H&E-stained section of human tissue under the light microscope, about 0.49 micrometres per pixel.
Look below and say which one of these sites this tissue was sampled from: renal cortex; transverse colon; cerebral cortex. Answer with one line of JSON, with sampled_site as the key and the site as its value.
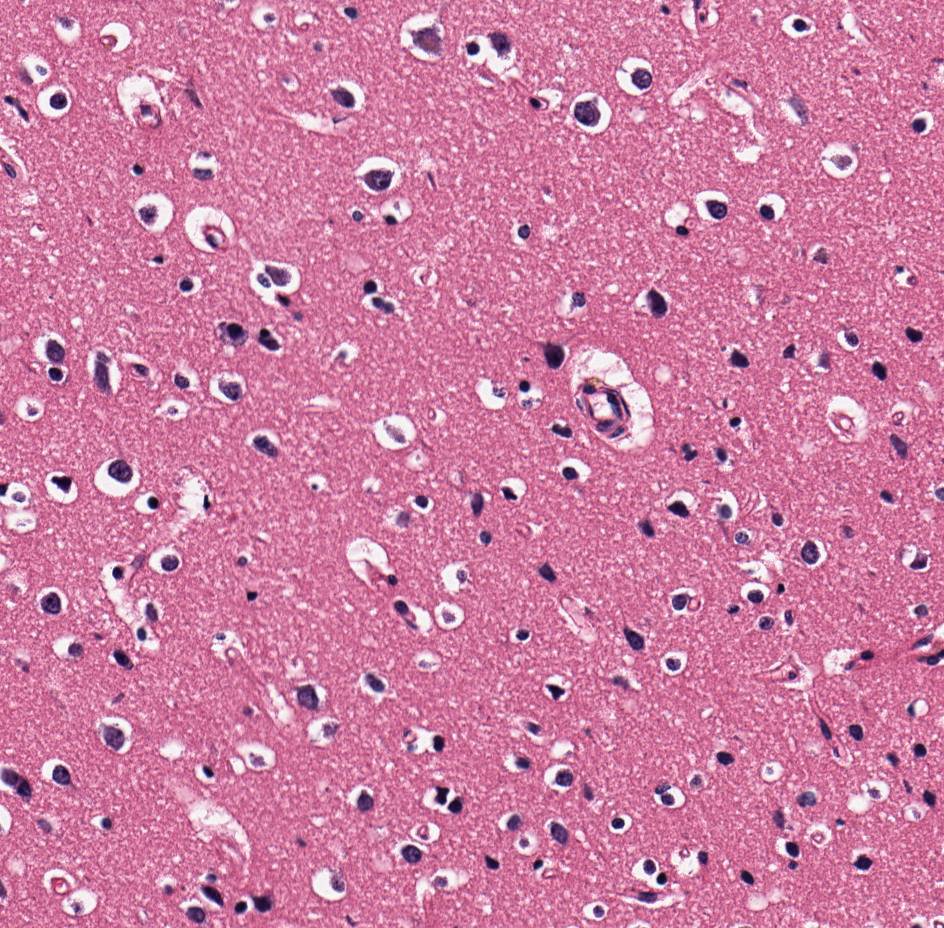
{"sampled_site": "cerebral cortex"}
